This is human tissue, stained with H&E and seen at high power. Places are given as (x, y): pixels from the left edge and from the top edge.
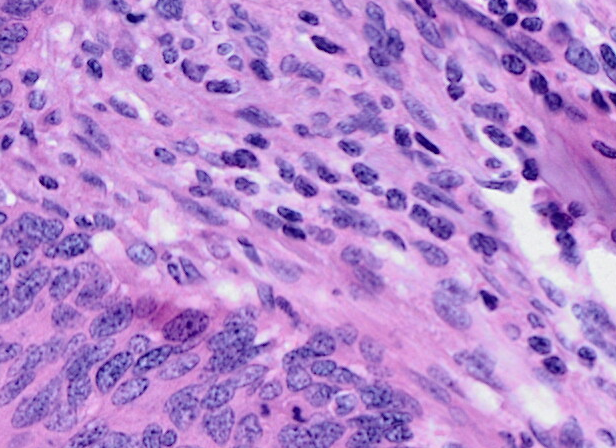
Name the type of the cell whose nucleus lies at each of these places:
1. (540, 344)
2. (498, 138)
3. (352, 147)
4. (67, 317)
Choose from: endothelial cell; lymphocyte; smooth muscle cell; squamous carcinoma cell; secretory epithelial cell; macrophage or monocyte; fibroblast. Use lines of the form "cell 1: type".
cell 1: lymphocyte
cell 2: lymphocyte
cell 3: lymphocyte
cell 4: squamous carcinoma cell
